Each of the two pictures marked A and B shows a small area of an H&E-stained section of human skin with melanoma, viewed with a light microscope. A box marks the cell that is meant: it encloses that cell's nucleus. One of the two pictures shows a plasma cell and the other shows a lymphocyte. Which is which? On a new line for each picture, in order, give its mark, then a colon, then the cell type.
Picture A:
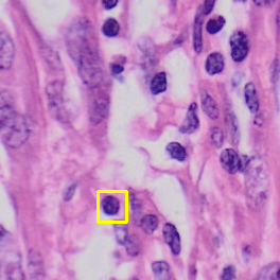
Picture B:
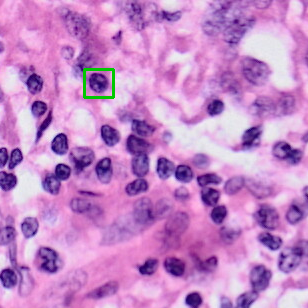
A: lymphocyte
B: plasma cell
